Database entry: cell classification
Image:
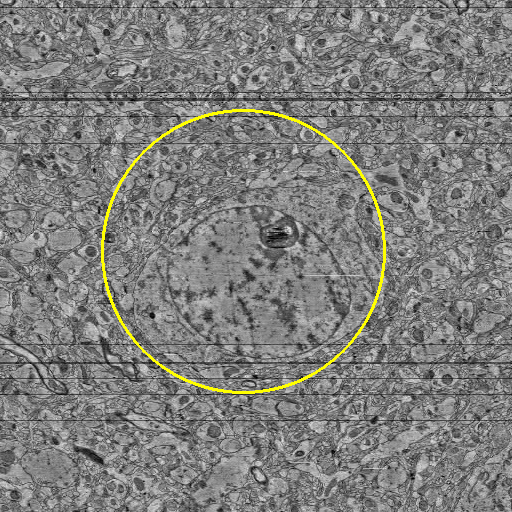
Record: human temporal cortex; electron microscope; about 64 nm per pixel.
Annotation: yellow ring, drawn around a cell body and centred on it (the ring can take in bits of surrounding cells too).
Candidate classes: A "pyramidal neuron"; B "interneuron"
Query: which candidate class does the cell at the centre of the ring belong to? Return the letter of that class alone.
A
